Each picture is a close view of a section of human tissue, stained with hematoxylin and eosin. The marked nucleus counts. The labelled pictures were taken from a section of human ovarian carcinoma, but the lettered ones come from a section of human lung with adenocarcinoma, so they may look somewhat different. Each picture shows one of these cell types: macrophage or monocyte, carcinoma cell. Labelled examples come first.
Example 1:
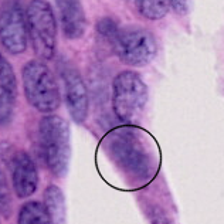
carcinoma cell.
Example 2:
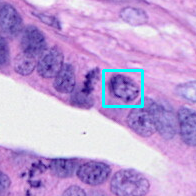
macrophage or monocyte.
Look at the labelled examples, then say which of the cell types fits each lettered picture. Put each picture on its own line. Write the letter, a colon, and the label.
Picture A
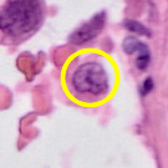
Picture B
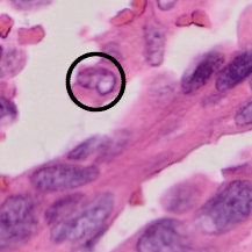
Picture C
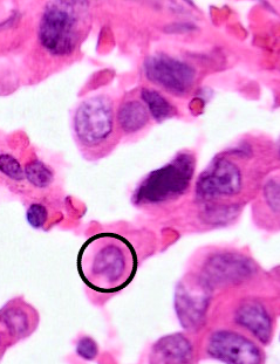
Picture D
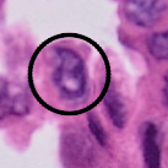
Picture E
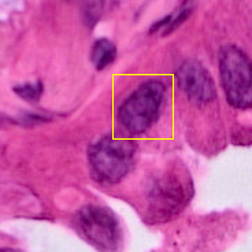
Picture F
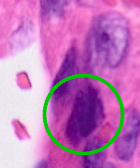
A: macrophage or monocyte.
B: macrophage or monocyte.
C: macrophage or monocyte.
D: carcinoma cell.
E: carcinoma cell.
F: carcinoma cell.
